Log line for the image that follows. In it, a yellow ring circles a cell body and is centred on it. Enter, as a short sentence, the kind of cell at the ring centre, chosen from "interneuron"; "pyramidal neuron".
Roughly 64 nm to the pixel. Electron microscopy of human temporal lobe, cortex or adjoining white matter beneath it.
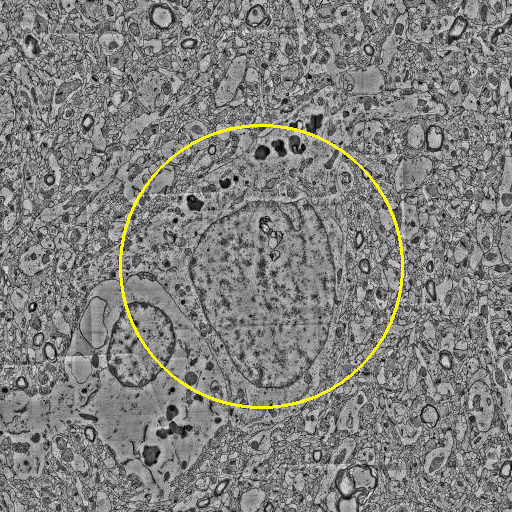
The ring centre is occupied by an interneuron.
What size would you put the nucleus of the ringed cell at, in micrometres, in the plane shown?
Roughly 12 by 10 micrometres in this plane, for the nucleus of the ringed cell.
